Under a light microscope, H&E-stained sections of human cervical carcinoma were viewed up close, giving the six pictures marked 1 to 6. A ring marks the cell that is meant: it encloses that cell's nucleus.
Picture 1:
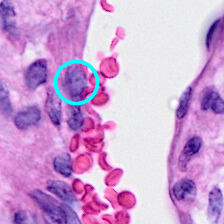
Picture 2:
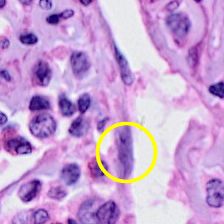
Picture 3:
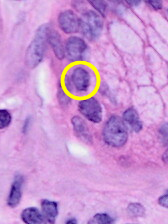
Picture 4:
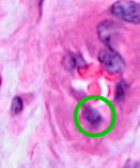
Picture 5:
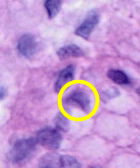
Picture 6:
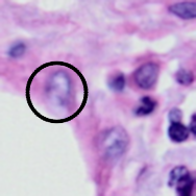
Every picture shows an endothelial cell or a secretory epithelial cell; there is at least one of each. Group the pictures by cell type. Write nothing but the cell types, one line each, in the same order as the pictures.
endothelial cell
endothelial cell
secretory epithelial cell
endothelial cell
secretory epithelial cell
endothelial cell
